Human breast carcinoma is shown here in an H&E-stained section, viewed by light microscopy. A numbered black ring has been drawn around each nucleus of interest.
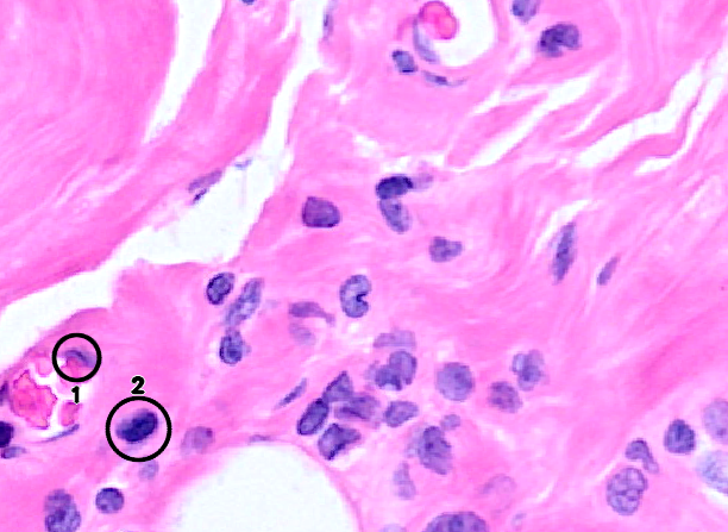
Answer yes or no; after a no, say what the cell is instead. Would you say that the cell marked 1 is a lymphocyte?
No, it is an endothelial cell.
